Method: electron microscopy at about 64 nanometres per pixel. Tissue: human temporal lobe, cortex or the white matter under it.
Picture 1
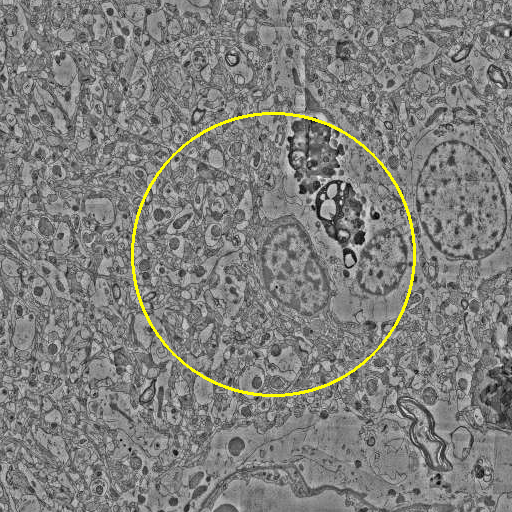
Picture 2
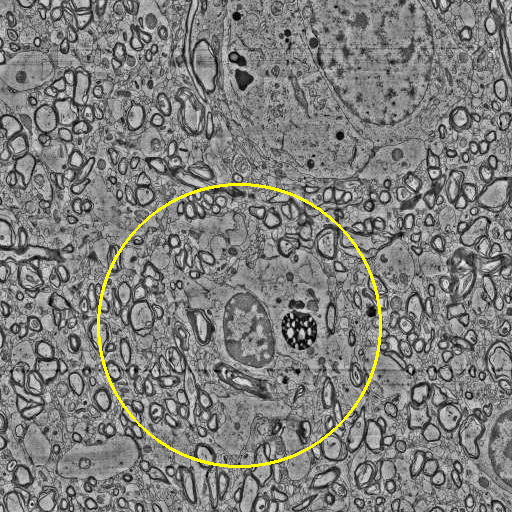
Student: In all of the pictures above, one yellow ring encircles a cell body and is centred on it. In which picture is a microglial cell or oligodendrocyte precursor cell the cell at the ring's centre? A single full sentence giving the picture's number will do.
Picture number 2 has the wanted cell right at the centre of its ring.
